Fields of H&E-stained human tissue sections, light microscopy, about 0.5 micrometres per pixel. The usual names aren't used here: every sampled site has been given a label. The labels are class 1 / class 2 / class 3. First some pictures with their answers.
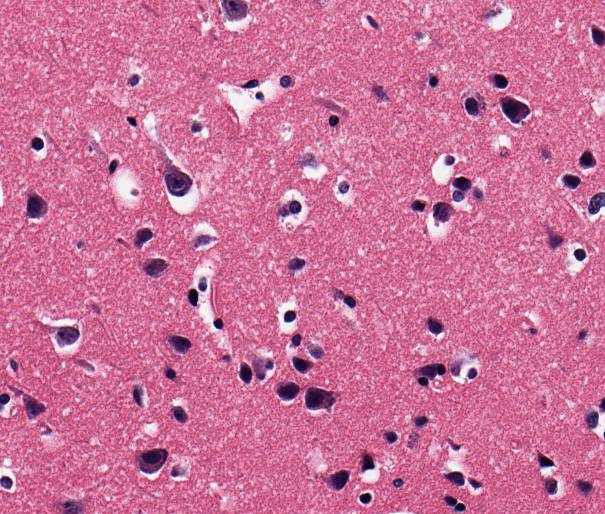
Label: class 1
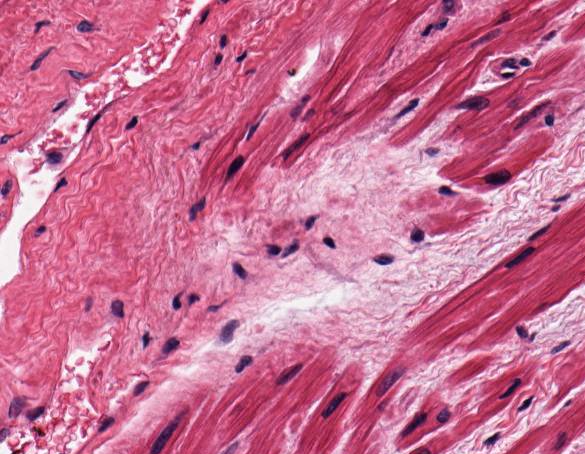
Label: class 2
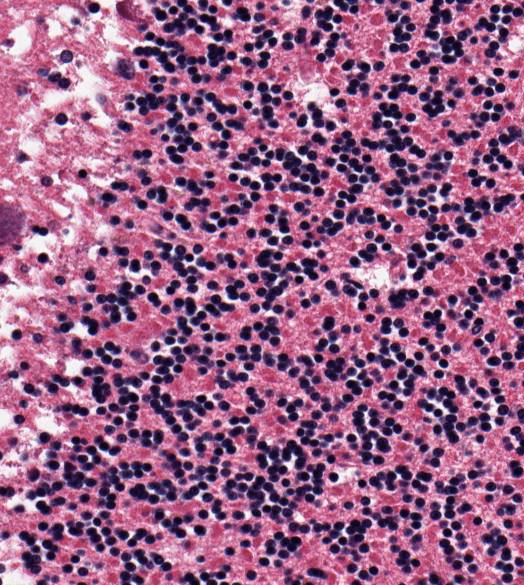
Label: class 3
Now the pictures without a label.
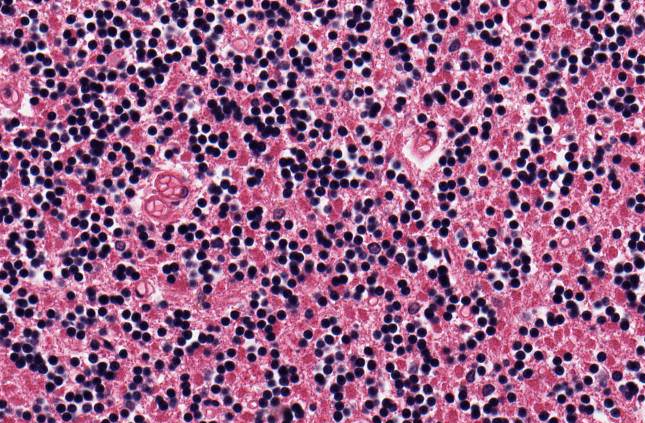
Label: class 3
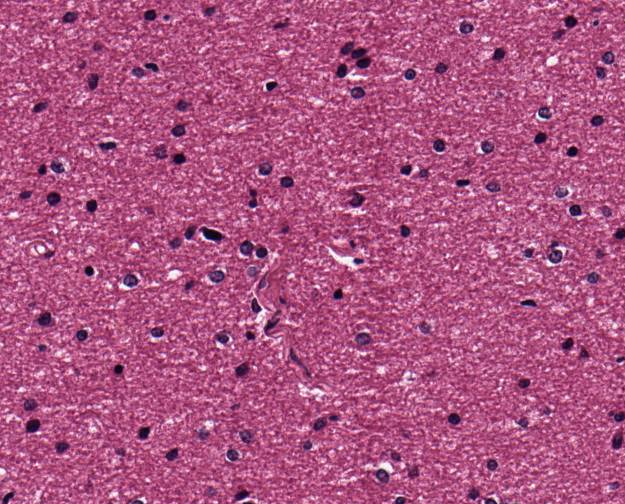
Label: class 1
